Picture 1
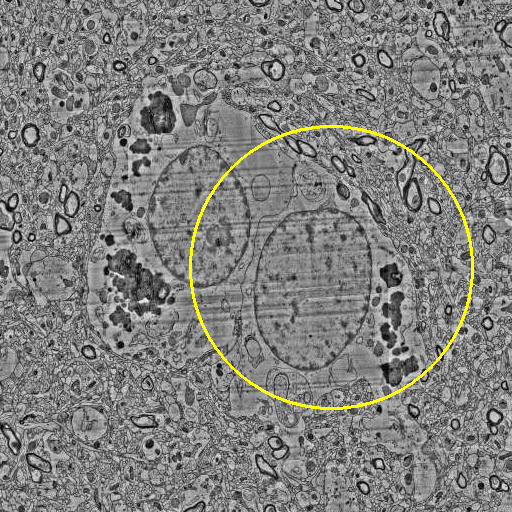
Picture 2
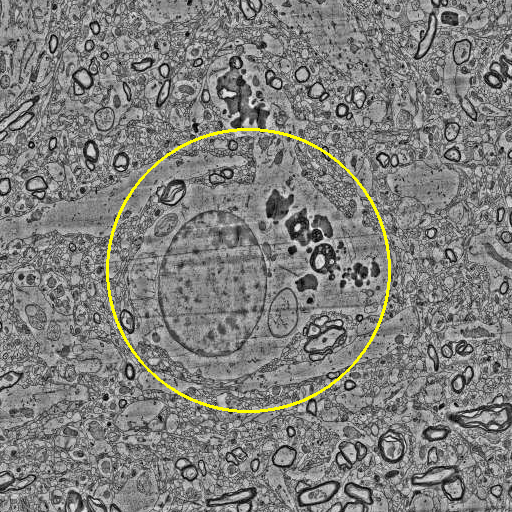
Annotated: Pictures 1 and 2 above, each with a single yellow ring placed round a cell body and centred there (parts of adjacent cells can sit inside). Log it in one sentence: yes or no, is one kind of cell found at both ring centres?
Yes, the ring centres of the two pictures hold cells of one kind.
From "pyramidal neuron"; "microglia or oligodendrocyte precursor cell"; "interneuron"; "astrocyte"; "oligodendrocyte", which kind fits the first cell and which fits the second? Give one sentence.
The cell at the ring centre is an astrocyte in both pictures.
